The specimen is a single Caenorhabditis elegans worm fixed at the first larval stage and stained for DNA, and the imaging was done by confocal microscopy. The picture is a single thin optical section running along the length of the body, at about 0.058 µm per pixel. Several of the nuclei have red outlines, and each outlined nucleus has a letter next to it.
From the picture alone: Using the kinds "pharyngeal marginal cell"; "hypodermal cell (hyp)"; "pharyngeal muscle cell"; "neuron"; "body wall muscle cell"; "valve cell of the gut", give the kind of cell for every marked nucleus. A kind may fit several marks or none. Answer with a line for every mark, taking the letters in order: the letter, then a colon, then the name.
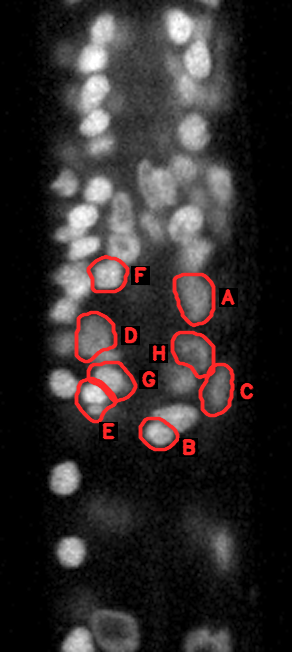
A: pharyngeal muscle cell
B: valve cell of the gut
C: body wall muscle cell
D: pharyngeal marginal cell
E: valve cell of the gut
F: neuron
G: pharyngeal muscle cell
H: pharyngeal muscle cell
